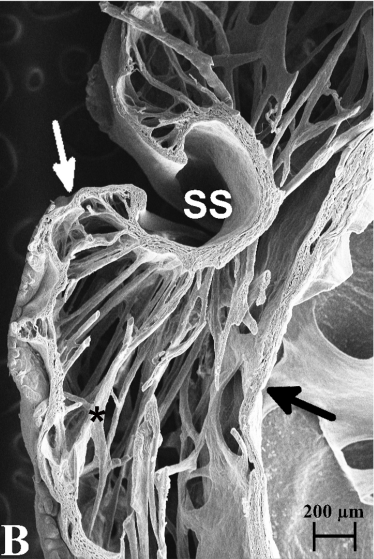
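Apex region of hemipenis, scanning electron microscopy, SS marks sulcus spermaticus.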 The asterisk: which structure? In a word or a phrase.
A: Trabeculas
